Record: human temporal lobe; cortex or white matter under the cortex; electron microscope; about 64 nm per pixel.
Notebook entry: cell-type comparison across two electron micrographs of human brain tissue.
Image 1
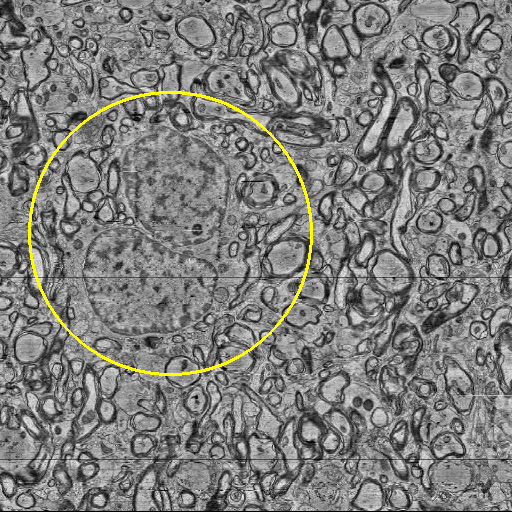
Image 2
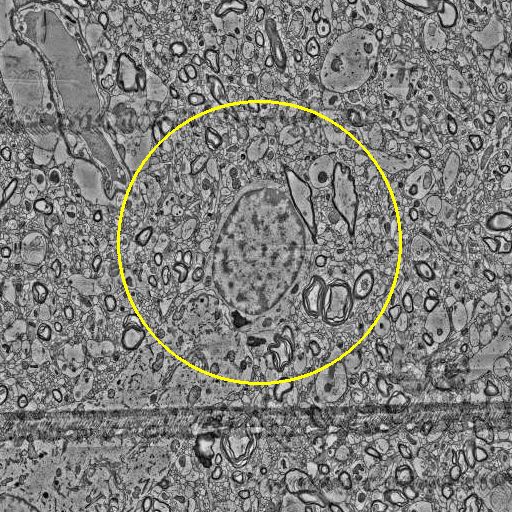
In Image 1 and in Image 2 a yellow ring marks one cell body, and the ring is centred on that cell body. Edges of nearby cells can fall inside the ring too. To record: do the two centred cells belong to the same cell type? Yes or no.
yes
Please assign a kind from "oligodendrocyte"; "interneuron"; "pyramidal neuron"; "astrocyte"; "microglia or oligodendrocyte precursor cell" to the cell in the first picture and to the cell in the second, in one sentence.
Both rings mark an oligodendrocyte, one in each picture.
